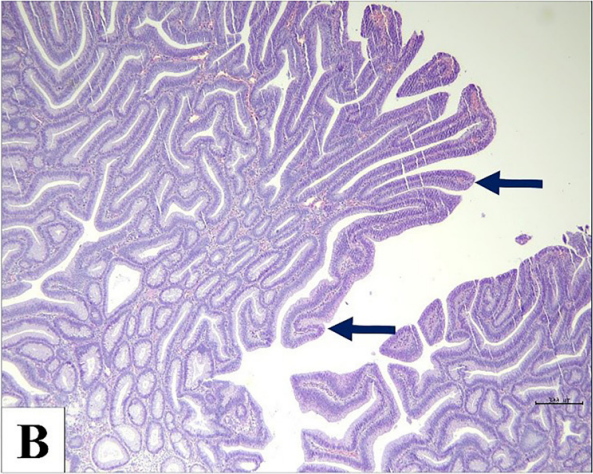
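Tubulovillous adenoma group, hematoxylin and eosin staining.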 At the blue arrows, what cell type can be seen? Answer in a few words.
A: Pseudostratified epithelial cells with hyperchromatic nuclei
